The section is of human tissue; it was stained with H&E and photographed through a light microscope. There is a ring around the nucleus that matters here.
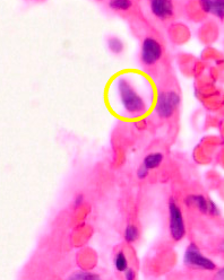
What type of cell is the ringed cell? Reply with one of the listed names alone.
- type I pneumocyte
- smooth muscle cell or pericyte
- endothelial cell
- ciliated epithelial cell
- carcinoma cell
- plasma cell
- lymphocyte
type I pneumocyte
